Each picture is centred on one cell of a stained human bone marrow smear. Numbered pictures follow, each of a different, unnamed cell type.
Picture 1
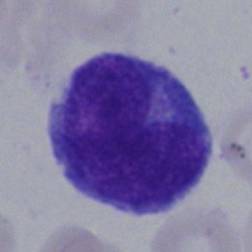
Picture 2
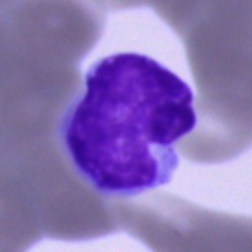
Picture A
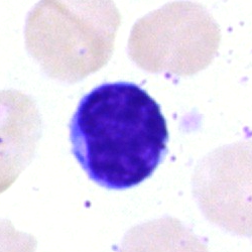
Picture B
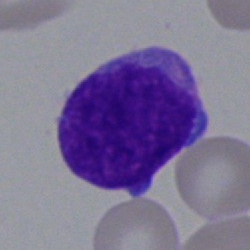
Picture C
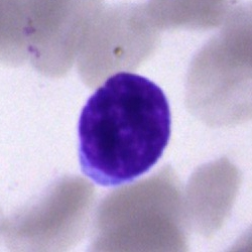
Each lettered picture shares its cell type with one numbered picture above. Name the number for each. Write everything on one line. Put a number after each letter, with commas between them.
A 2, B 1, C 2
